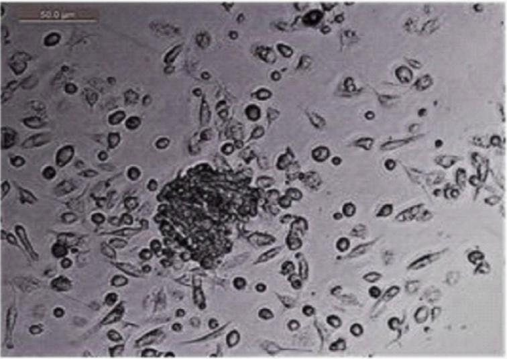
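Many cells are small, rounded and refractile, while others are flattened and spindle-shaped or elongated with tapering ends. Near the centre the cells are piled into a dense dark clump, with single cells scattered around it.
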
